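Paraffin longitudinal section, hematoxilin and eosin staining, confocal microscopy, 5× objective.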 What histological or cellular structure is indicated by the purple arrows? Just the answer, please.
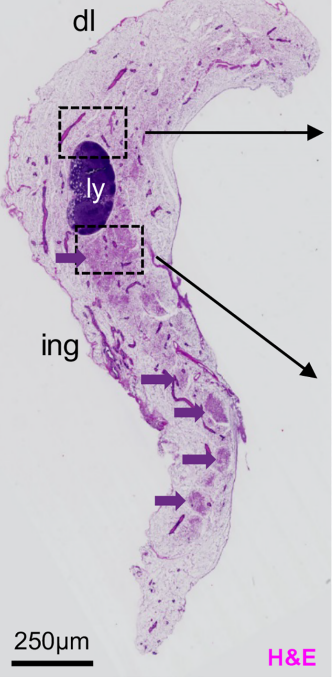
Beige islands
